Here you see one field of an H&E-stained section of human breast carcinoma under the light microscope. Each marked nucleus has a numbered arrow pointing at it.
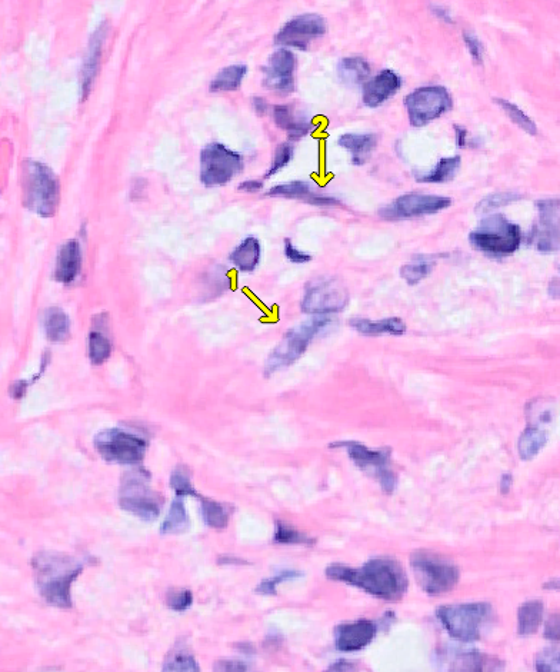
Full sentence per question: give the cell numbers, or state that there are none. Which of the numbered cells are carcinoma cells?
Of all the cells that carry a number, none are carcinoma cells.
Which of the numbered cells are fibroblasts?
Only the cell carrying number 1 is a fibroblast.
